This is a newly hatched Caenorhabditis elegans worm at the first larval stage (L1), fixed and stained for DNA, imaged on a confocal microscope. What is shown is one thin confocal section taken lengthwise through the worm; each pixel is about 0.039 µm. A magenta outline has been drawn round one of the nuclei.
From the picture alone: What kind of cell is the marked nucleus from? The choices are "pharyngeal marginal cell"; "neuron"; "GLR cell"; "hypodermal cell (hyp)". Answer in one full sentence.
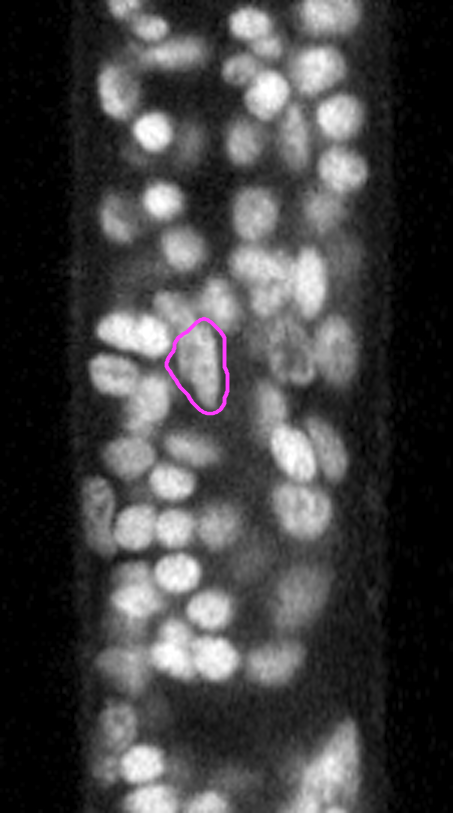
The marked nucleus belongs to a pharyngeal marginal cell.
